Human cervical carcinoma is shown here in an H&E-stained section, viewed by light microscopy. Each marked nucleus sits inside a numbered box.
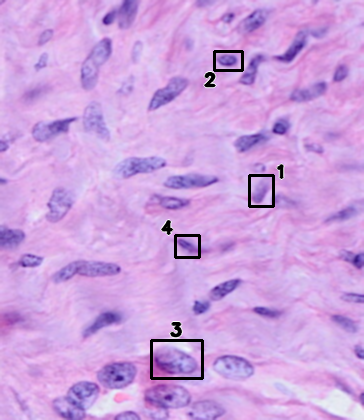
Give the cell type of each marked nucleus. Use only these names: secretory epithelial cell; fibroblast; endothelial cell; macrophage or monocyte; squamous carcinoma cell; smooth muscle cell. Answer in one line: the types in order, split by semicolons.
smooth muscle cell; smooth muscle cell; endothelial cell; smooth muscle cell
